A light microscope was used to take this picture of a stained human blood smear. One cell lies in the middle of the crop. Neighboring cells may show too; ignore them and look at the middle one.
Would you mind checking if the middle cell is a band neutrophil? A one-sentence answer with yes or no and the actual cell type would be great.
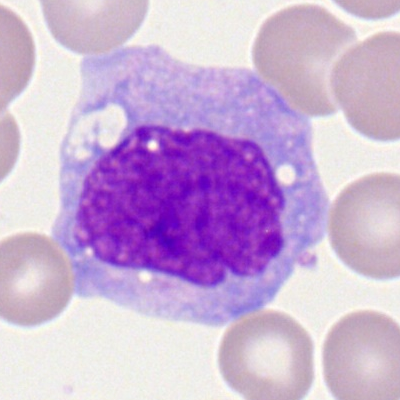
No, the cell at the centre is categorised not as a band neutrophil but as a monocyte.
